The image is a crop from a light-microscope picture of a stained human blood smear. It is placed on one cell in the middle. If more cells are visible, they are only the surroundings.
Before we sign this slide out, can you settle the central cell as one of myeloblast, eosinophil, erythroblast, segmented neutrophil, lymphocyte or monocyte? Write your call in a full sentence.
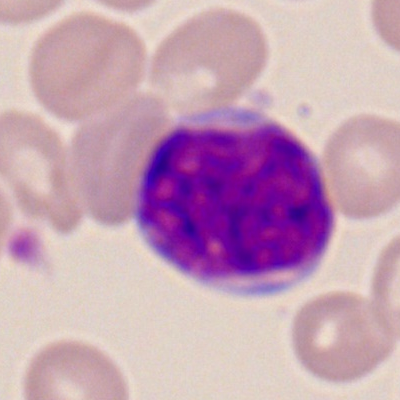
The cell centered in this field of view is a myeloblast.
